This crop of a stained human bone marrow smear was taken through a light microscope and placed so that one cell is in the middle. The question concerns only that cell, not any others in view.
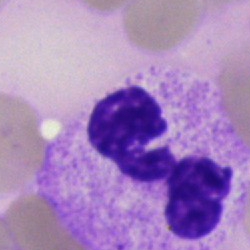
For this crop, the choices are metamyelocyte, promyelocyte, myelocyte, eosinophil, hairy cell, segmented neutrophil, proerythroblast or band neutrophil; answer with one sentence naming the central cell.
The cell in the middle of the field of view is a segmented neutrophil.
